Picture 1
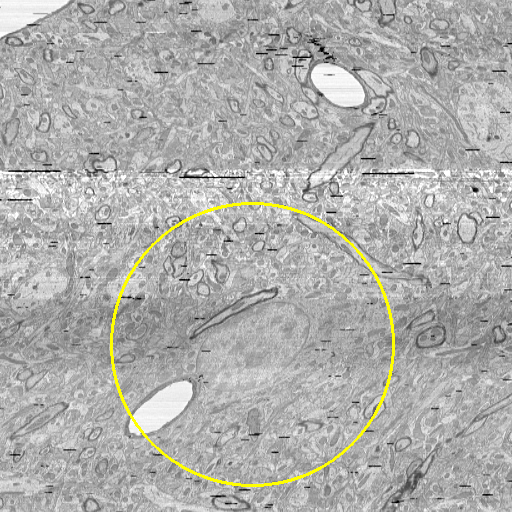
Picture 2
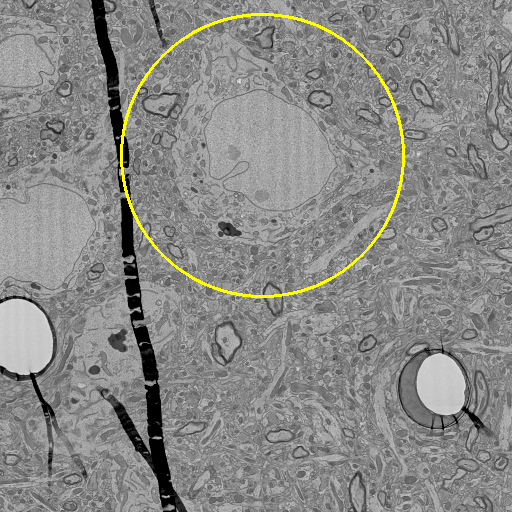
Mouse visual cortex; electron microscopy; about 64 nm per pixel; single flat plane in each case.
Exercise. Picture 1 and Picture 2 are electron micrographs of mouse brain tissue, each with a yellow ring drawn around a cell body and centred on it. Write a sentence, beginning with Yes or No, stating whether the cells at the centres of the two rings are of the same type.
No, the cells at the centres of the rings are of two types.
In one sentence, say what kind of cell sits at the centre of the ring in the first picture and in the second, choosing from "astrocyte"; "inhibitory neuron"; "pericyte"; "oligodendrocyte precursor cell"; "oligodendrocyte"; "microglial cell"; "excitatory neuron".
The first picture's ringed cell is an oligodendrocyte, while the second picture's is an excitatory neuron.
